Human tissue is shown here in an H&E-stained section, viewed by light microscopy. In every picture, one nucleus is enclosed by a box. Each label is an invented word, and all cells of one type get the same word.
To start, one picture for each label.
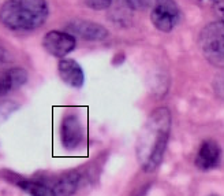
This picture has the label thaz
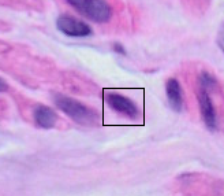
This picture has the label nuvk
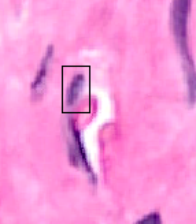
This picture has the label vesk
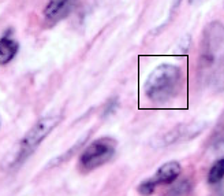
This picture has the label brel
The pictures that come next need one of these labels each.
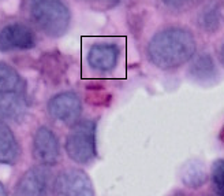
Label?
brel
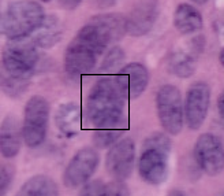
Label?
thaz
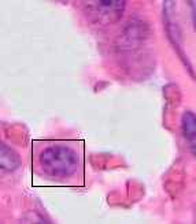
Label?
brel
